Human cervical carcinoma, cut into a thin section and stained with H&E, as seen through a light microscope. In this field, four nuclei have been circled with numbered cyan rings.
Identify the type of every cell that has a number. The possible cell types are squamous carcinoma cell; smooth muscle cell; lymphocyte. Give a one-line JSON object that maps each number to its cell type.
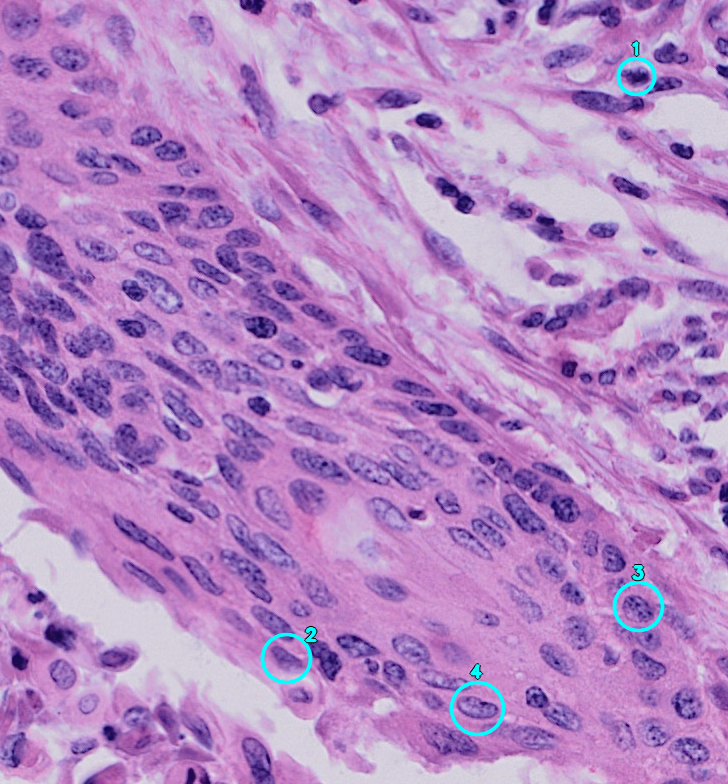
{"1": "lymphocyte", "2": "squamous carcinoma cell", "3": "squamous carcinoma cell", "4": "squamous carcinoma cell"}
